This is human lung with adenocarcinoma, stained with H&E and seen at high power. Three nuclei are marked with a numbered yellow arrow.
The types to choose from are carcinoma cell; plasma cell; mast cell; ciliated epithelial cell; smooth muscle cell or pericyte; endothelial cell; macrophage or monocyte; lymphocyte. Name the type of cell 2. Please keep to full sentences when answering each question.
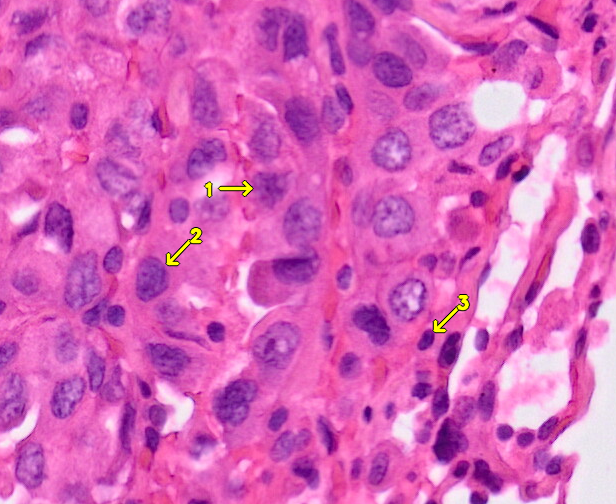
The cell indicated with the number 2 is classed as a carcinoma cell.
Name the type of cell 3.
Cell 3, among those numbered, is a lymphocyte.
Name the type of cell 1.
Classified as a carcinoma cell is the cell with the number 1.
